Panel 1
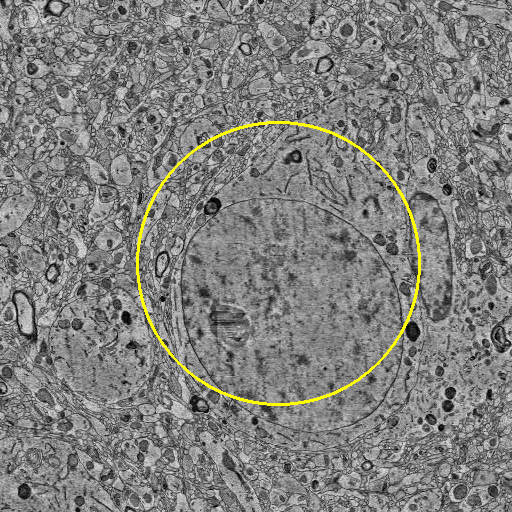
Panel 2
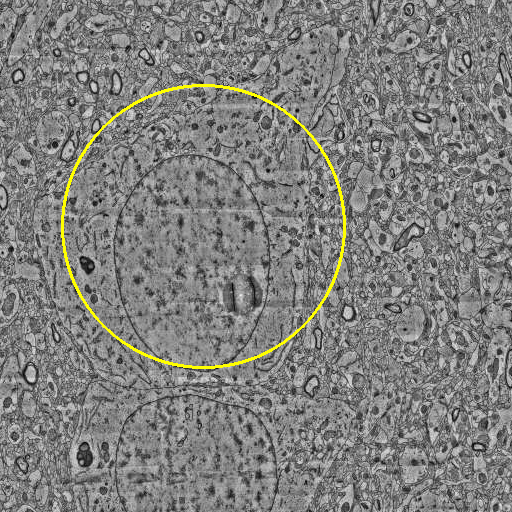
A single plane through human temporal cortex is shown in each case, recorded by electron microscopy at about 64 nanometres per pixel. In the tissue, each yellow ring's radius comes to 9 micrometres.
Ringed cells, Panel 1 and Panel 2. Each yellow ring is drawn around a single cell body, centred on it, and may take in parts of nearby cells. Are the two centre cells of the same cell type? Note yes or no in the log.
yes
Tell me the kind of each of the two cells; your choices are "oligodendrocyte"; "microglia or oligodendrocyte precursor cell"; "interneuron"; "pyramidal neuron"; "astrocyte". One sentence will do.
The ring centre holds a pyramidal neuron in each of the two pictures.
